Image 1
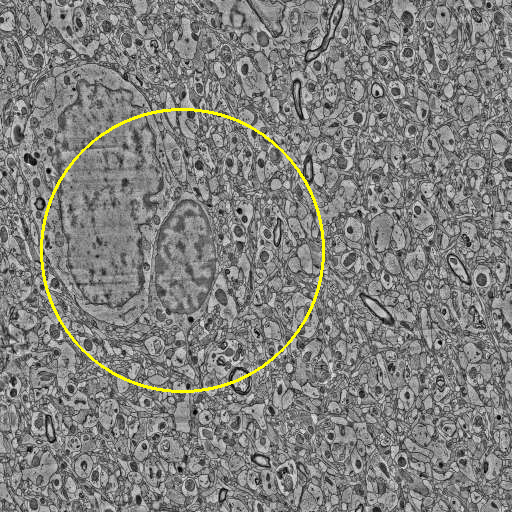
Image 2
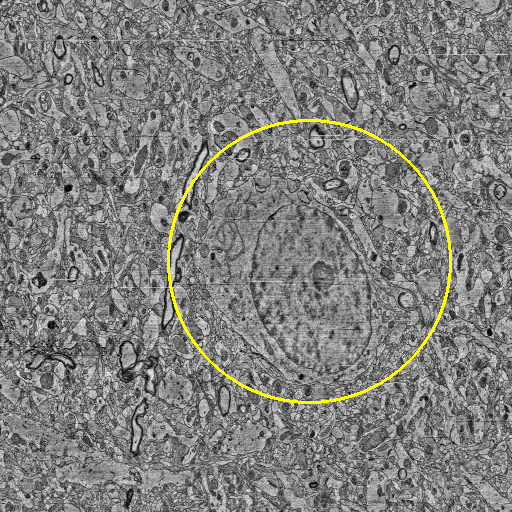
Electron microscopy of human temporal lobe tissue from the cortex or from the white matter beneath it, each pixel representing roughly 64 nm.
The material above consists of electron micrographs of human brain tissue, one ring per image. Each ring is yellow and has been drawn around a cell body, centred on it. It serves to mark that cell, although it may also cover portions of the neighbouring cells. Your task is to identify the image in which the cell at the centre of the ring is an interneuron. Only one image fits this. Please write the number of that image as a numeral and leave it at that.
2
